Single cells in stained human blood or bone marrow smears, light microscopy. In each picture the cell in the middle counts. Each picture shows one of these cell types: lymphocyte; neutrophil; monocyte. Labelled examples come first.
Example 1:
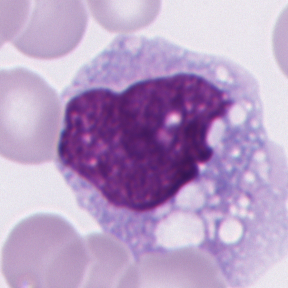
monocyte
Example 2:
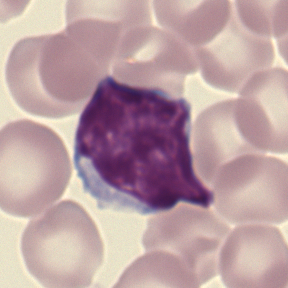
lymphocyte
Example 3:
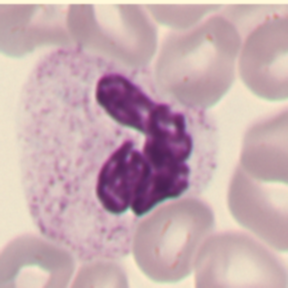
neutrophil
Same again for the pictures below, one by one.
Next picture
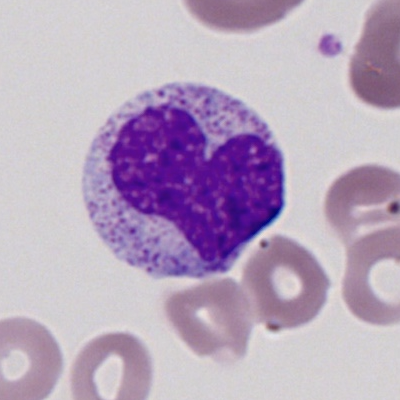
monocyte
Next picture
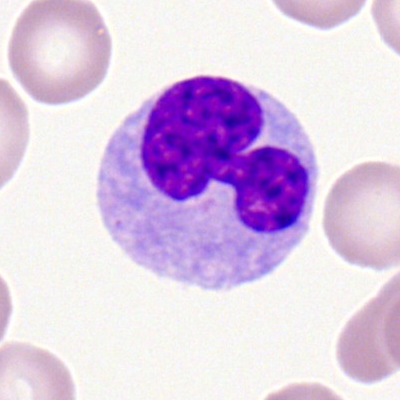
monocyte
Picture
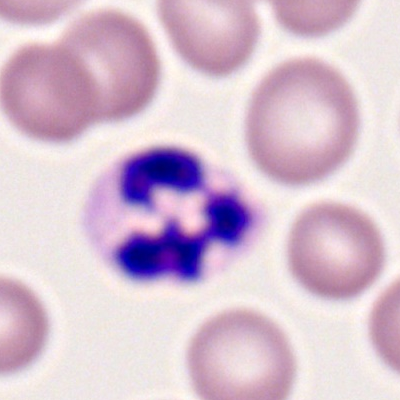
neutrophil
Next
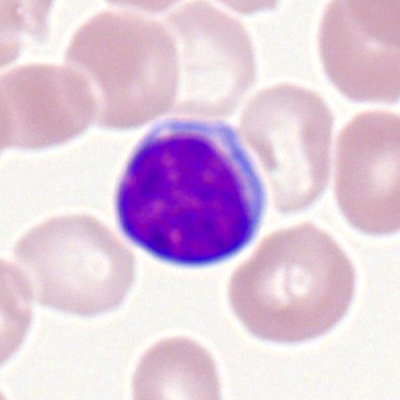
lymphocyte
